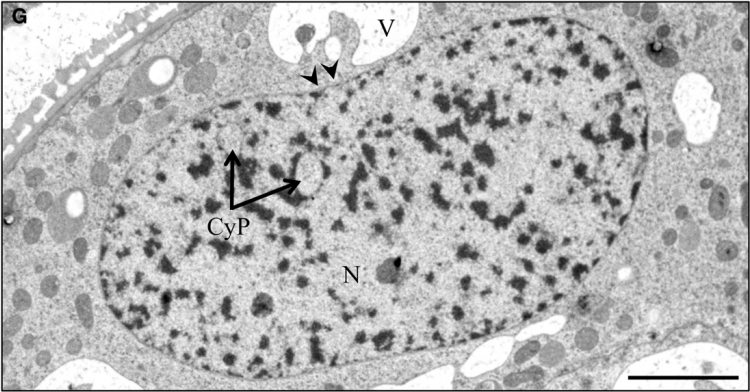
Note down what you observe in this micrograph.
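A single elongated nucleus with many dark, clumped chromatin patches fills much of the cell, its outline indented midway by a constriction. Pale areas within the nucleus correspond to cytoplasmic pockets, and the surrounding cytoplasm holds numerous small organelles beside irregular vacuoles.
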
